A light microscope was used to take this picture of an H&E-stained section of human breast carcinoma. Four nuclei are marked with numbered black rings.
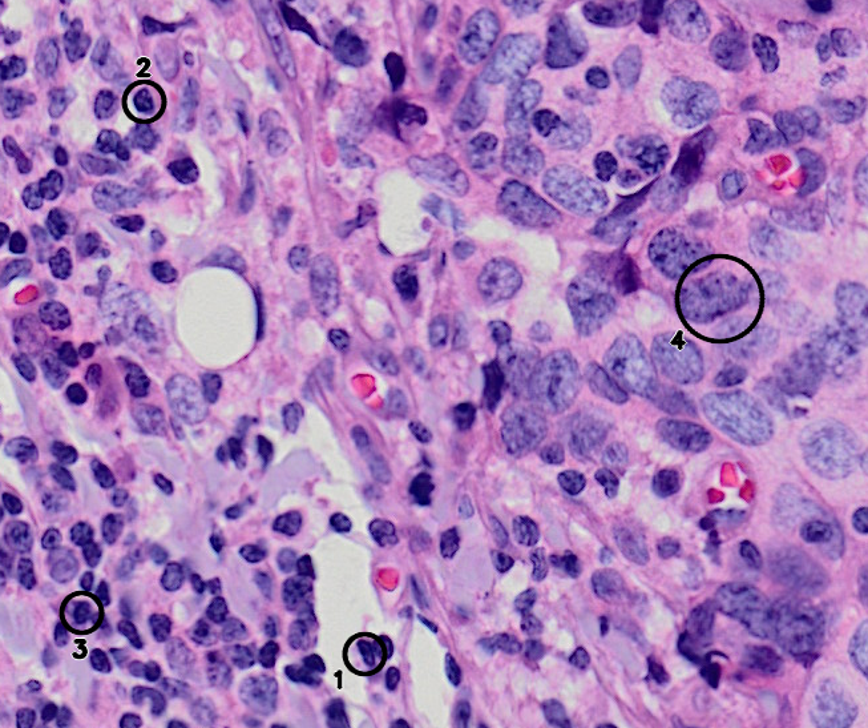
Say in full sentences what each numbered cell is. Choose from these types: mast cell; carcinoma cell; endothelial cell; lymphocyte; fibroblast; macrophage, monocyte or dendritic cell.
Cells 1, 2 and 3 are lymphocytes. Cell 4 is a carcinoma cell.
